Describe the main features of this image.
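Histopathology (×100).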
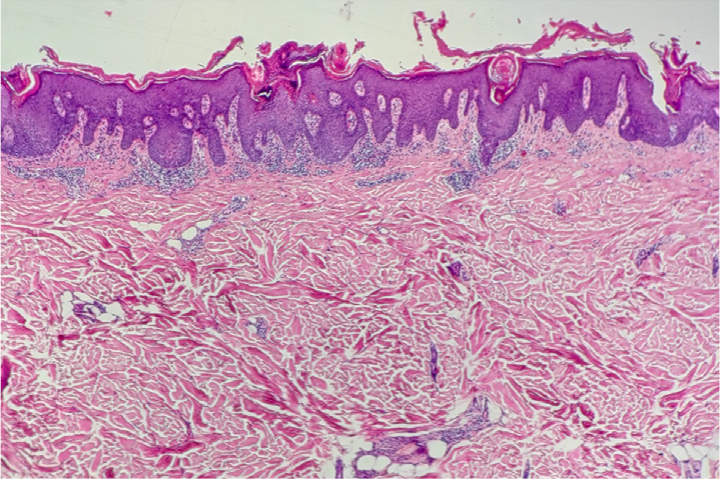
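This is skin at low power, with the epidermis along the top and the dermis filling the rest of the field. The epidermis is a purple band of keratinocytes. It is somewhat thickened and has irregular downward projections, the rete ridges. Above it the cornified layer is thin, pink and lifted away. It is broken by a few narrow columns and plugs of compact keratin that sit in small dips of the surface. Beneath the epidermis, small dark-blue inflammatory cells gather in the upper dermis and around vessels. They also lie scattered between the pink collagen bundles, which fill the deeper dermis. Small islands of fat show at the bottom edge.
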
